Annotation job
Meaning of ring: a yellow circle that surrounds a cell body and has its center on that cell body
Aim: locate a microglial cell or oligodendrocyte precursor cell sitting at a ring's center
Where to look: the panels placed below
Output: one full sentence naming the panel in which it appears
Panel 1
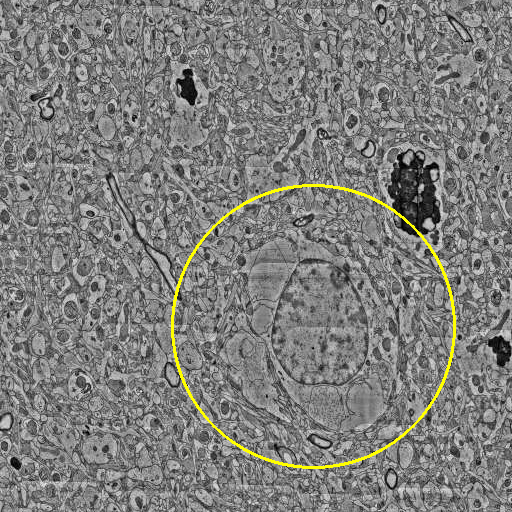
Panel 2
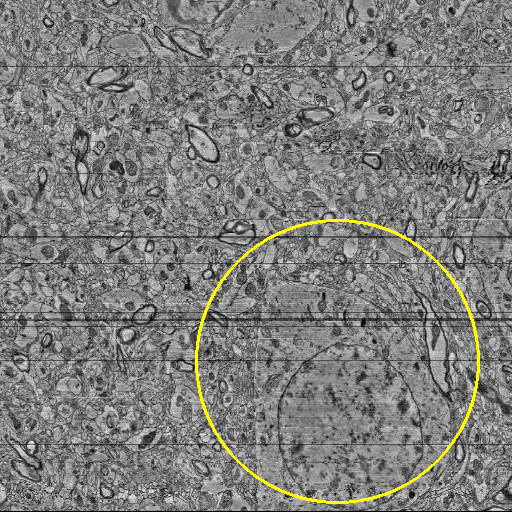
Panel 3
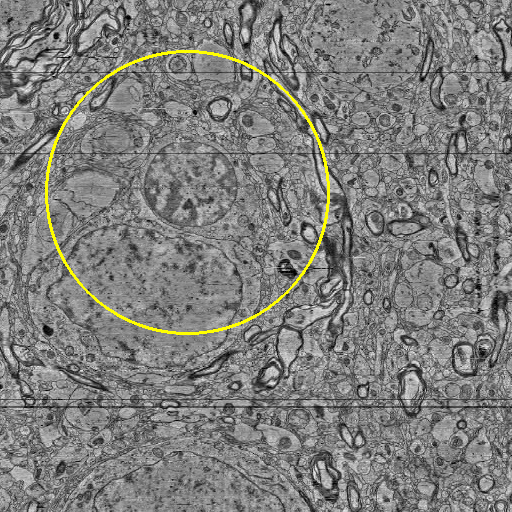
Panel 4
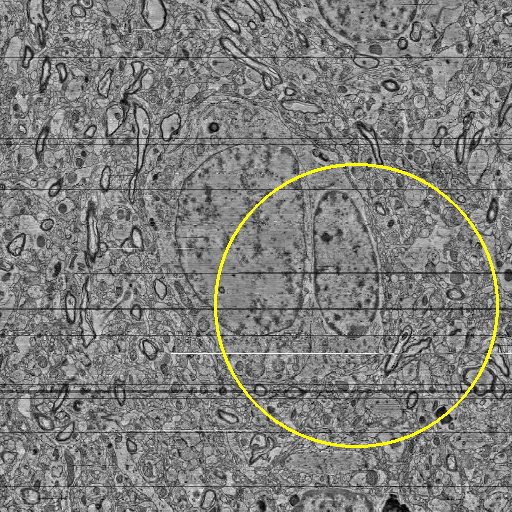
The cell at the center of the ring in panel 4 is the one sought.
